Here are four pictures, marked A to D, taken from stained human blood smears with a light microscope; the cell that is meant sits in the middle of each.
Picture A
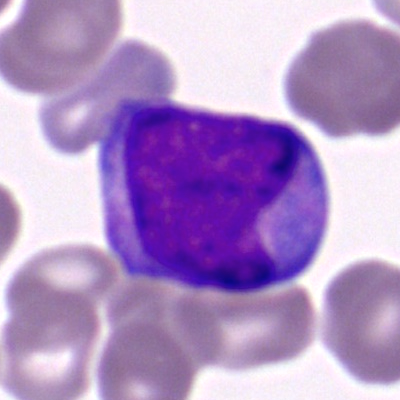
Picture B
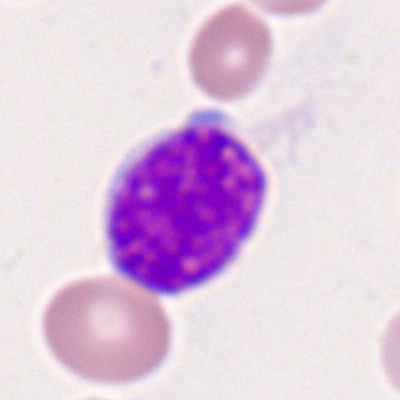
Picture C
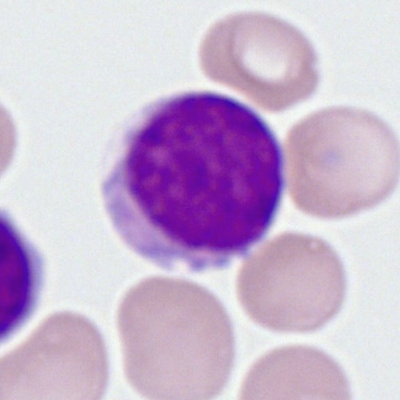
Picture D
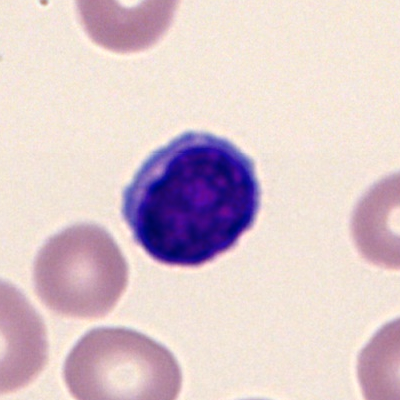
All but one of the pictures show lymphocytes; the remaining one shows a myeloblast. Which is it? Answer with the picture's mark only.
A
